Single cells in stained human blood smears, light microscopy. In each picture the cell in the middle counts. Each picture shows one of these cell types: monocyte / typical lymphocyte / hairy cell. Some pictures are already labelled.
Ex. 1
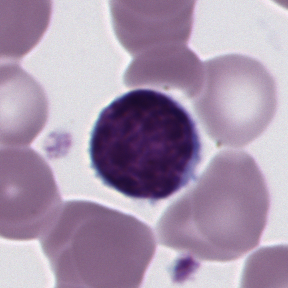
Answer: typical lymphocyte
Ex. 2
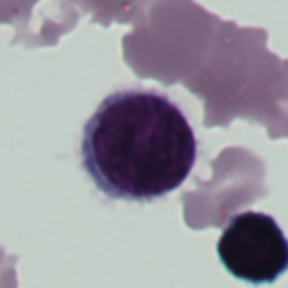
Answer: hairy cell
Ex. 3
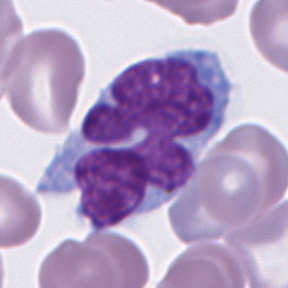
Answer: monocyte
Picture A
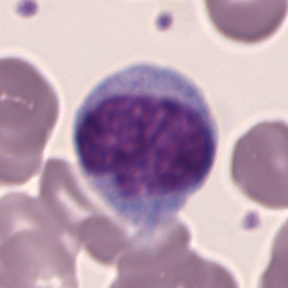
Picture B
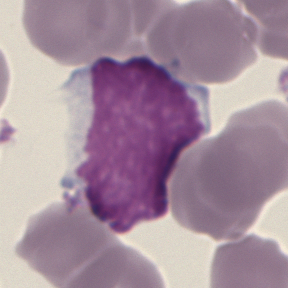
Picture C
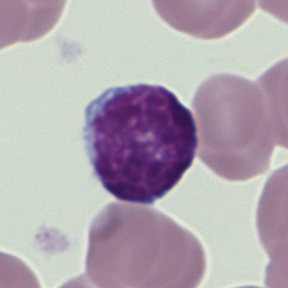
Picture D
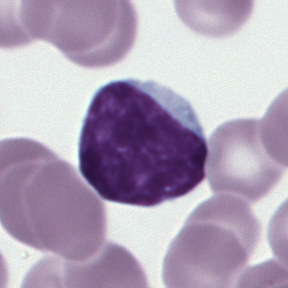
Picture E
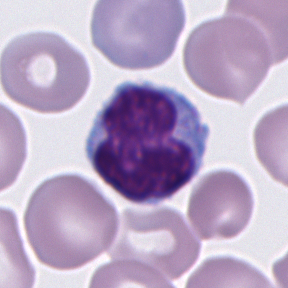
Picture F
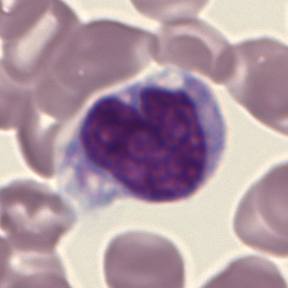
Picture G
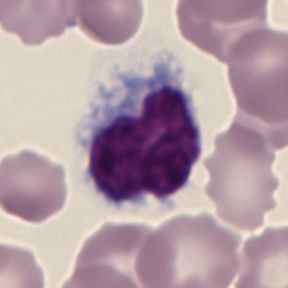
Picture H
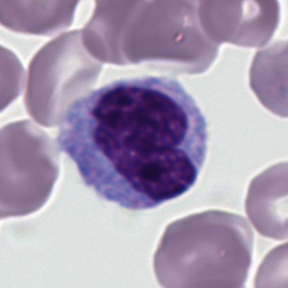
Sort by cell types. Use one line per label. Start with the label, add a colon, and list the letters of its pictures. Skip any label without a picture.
monocyte: A, F, H
typical lymphocyte: B, C, D, E
hairy cell: G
